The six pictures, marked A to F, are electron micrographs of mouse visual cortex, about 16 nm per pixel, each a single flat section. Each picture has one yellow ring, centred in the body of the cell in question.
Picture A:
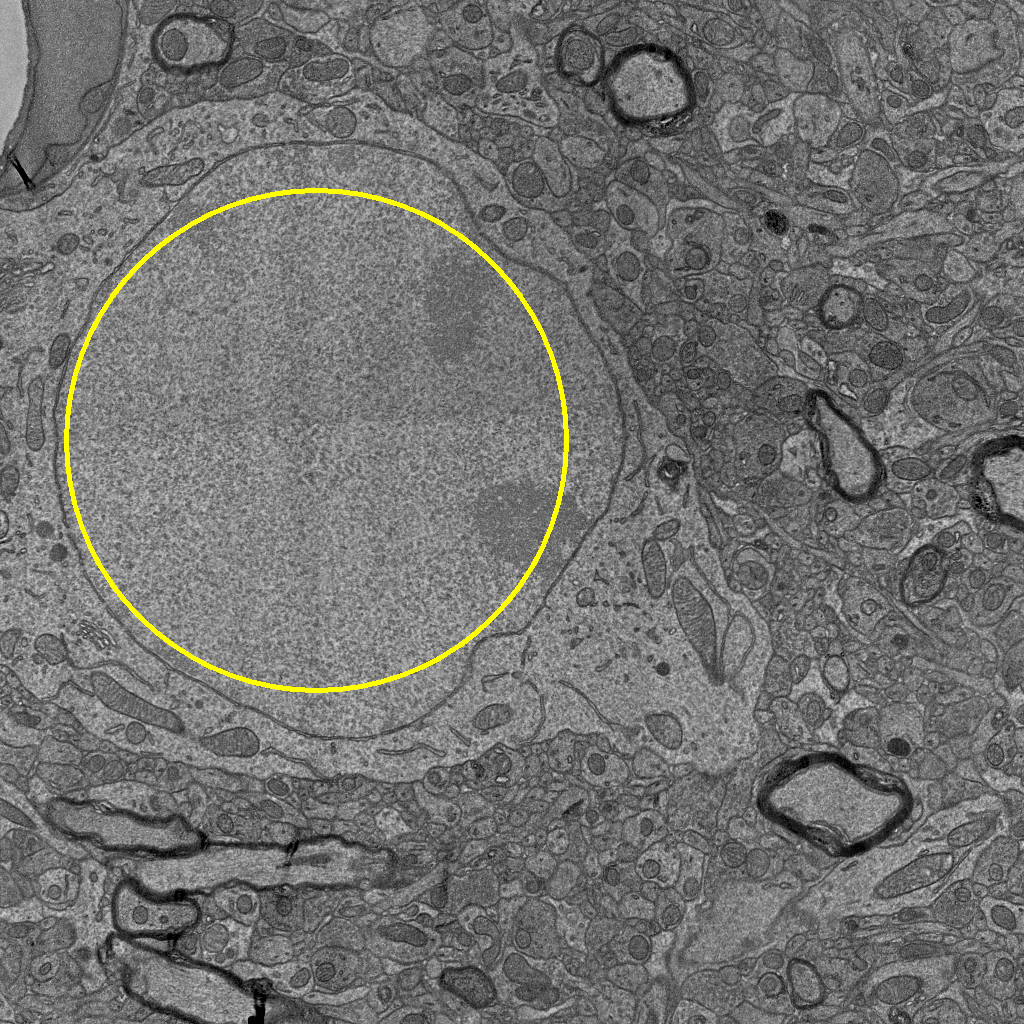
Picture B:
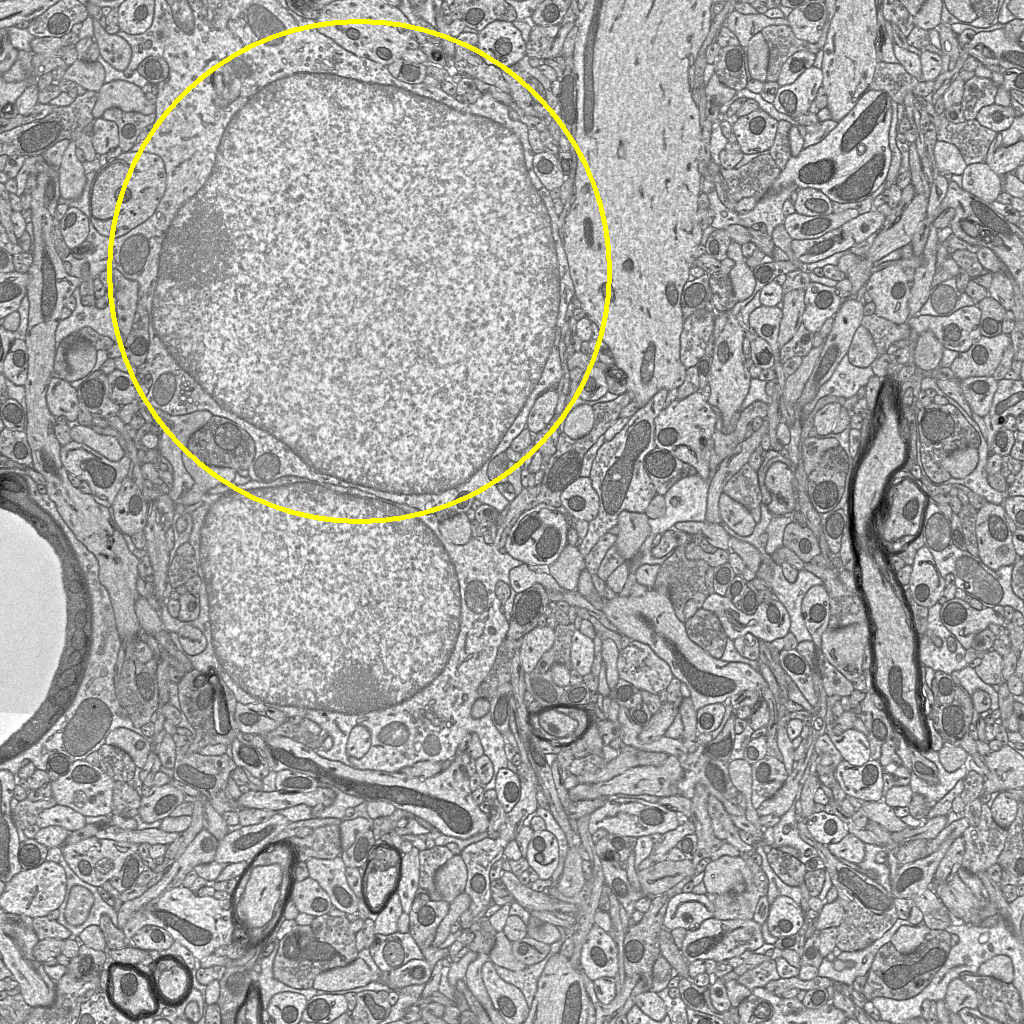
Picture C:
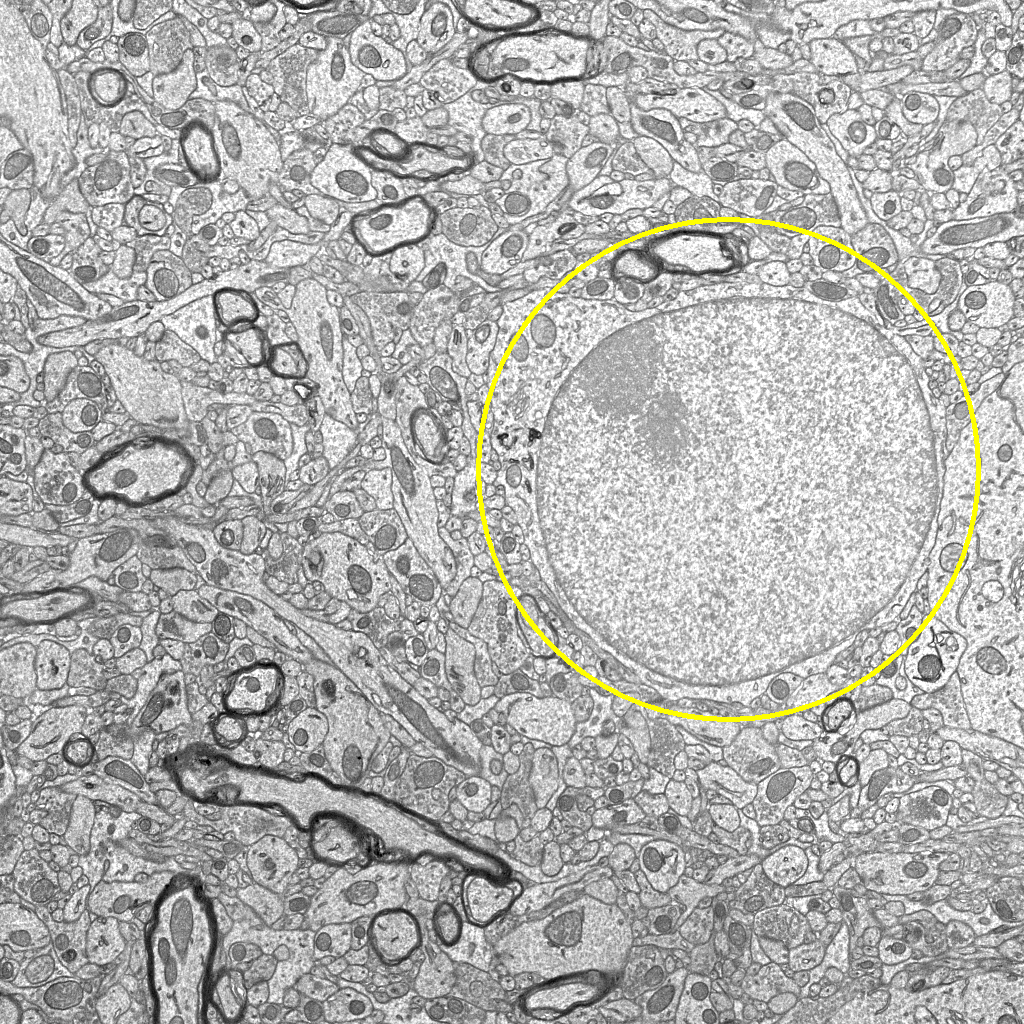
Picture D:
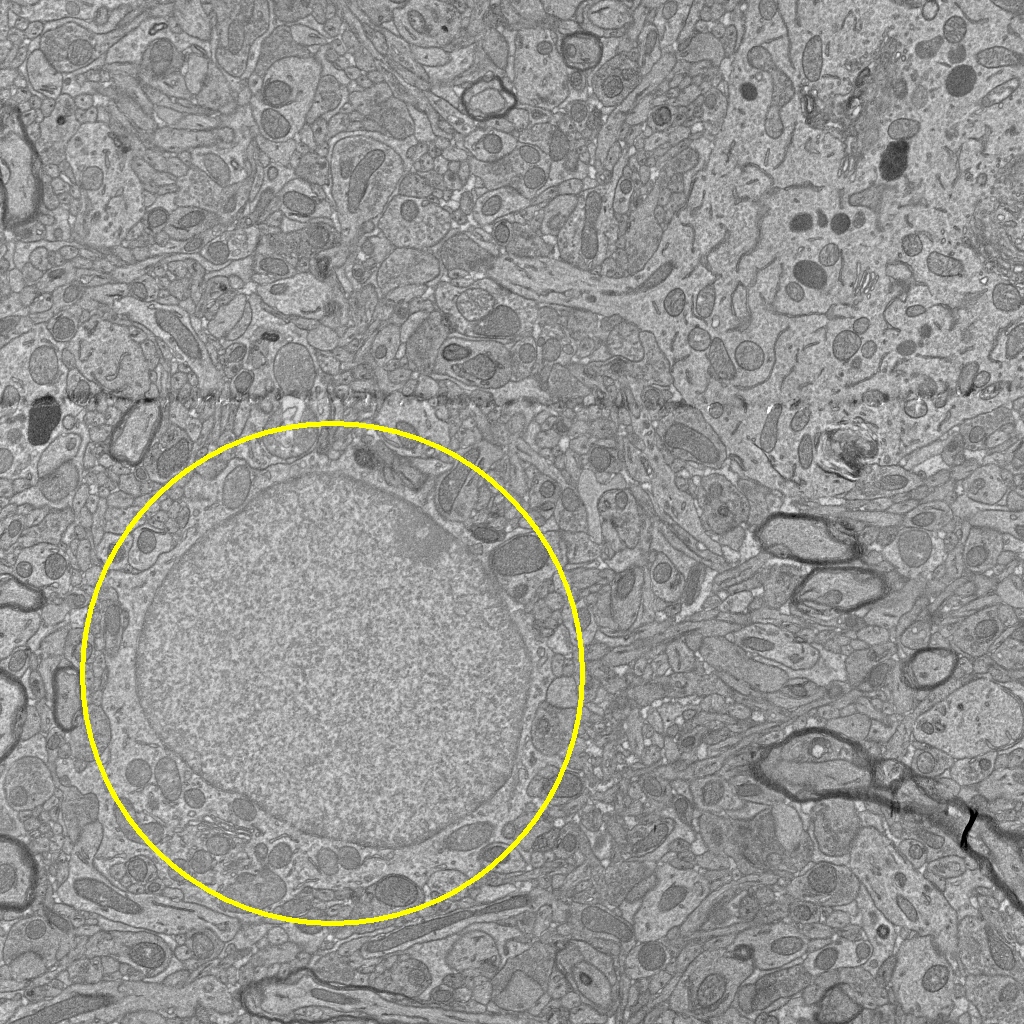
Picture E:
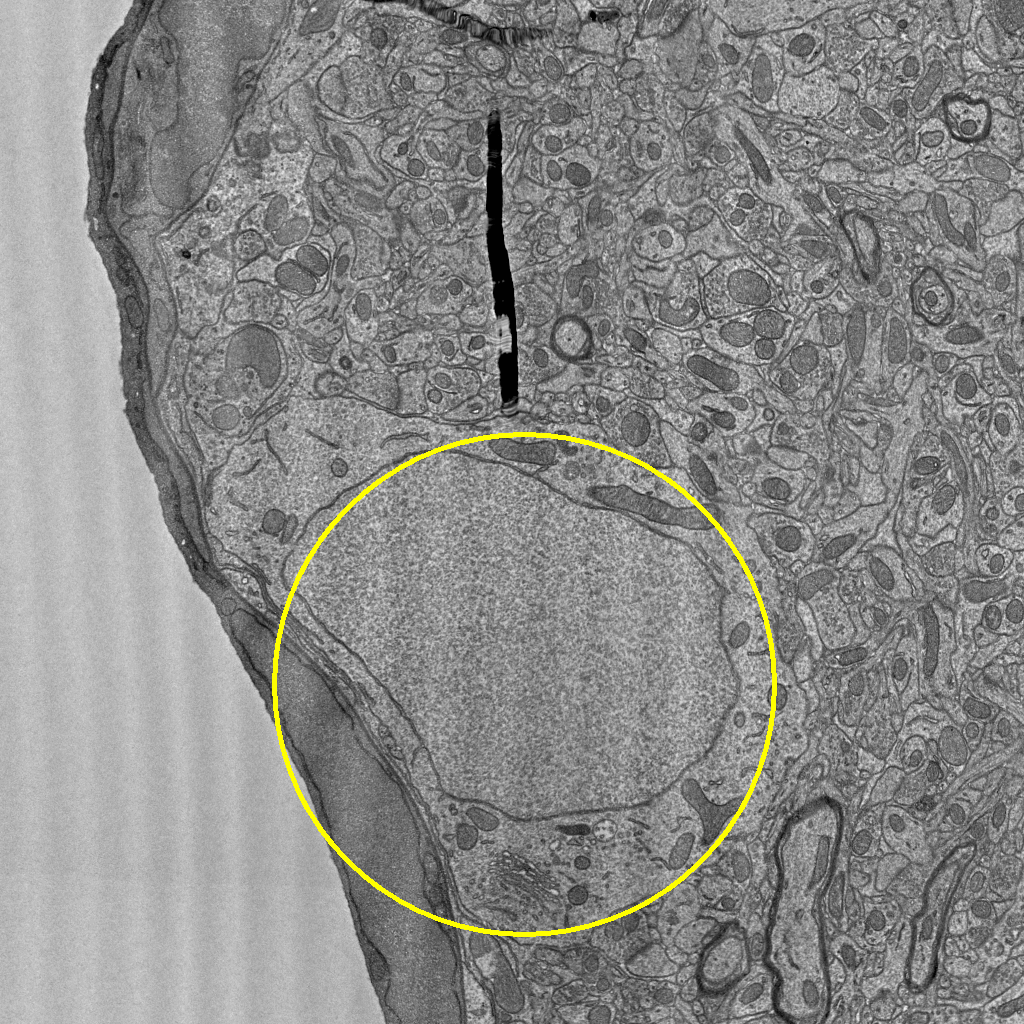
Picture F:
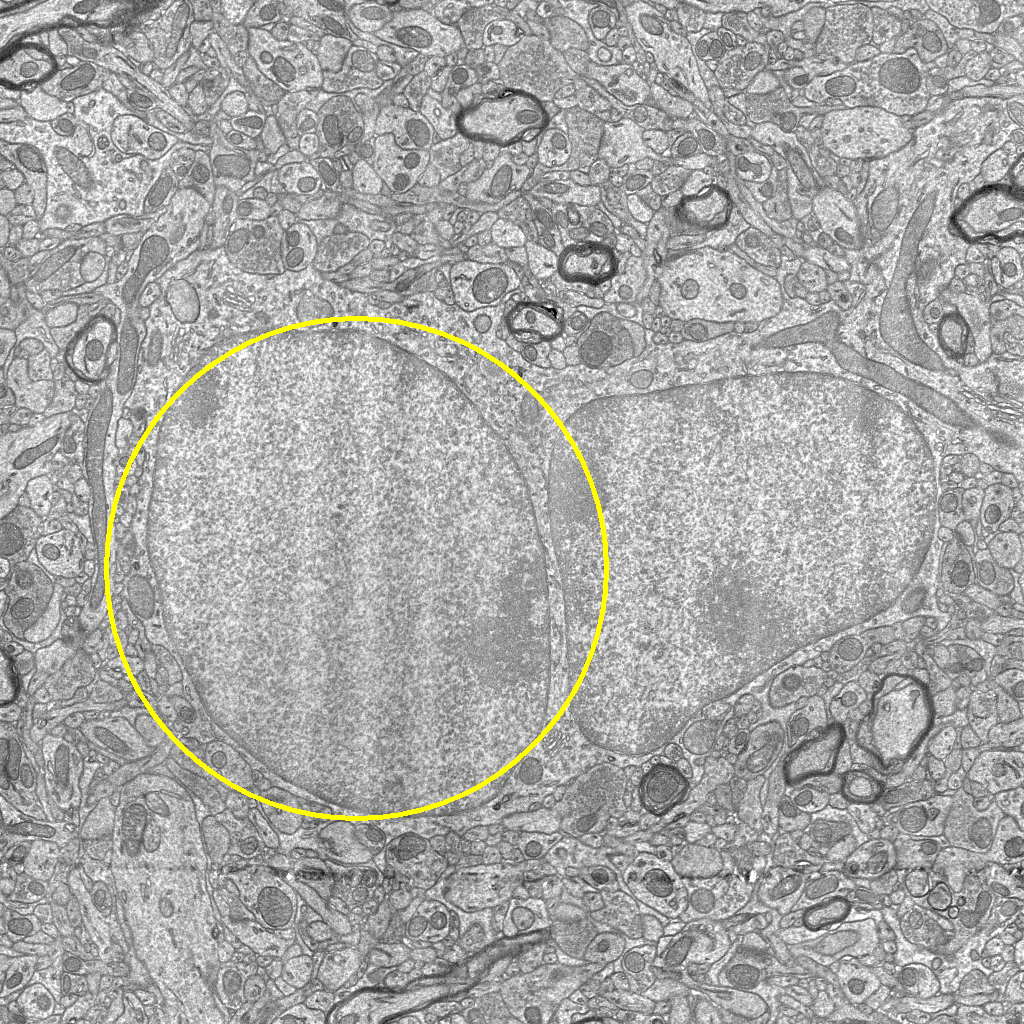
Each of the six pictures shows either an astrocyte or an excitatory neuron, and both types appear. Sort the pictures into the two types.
Pictures B, C, D and F show astrocytes; pictures A and E show excitatory neurons.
